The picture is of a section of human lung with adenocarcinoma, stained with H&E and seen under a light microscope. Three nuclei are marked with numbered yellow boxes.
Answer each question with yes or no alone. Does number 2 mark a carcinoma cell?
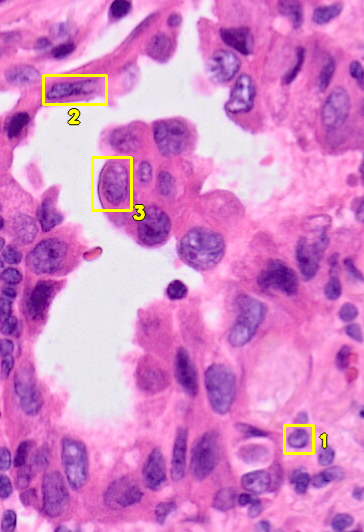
yes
